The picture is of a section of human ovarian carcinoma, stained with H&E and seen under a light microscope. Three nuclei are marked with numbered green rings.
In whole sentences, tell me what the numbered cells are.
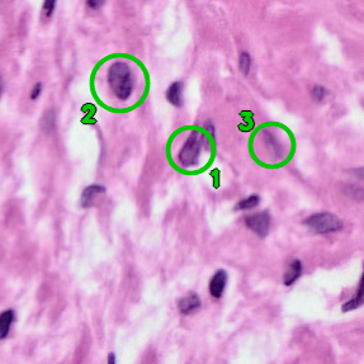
Cells 1 and 3 are fibroblasts. Cell 2 is a macrophage or monocyte.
